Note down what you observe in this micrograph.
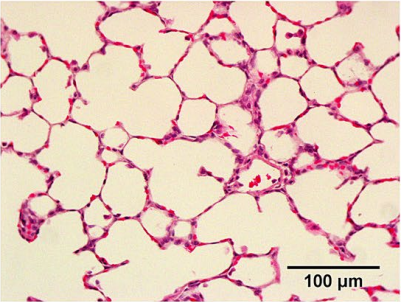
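This is lung tissue made of many clear, polygonal alveolar air spaces separated by thin pink walls. Few cells lie free within the air spaces. The overall picture is an open, delicate lacework of alveoli with slender septa.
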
